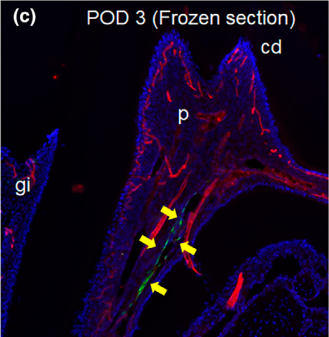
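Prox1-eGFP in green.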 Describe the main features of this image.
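A longitudinal section through a tooth shows the pulp filling the crown and extending down into the root, bordered by hard tissue. In the root pulp a narrow, elongated channel is lined by thin green cells, forming a slender tube running lengthwise. Nearby, separate soft tissues with densely packed blue nuclei border the tooth on both sides.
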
